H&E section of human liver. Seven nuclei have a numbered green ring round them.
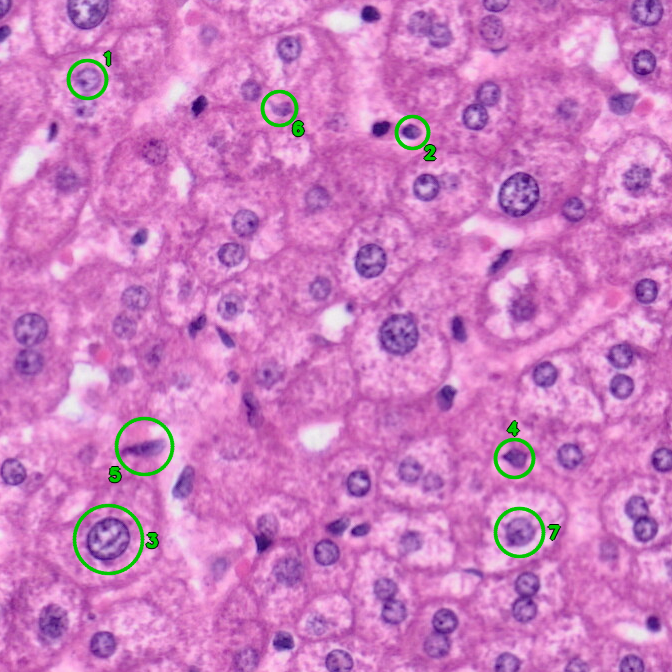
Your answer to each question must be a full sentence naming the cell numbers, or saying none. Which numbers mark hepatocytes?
Classified as hepatocytes are the cells numbered 1, 3 and 7.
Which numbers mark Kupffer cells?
Cell 5 is a Kupffer cell; no further numbered cell is.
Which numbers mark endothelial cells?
The cells identified by the numbers 4 and 6 are endothelial cells.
